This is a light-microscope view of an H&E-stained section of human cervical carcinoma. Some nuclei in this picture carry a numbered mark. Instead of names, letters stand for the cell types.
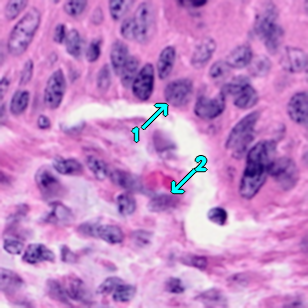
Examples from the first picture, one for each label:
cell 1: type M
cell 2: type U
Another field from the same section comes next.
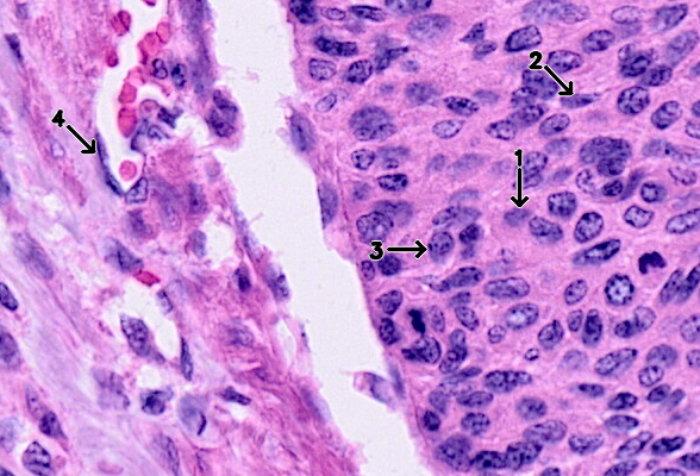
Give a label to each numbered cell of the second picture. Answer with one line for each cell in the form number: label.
1: type M
2: type M
3: type M
4: type U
